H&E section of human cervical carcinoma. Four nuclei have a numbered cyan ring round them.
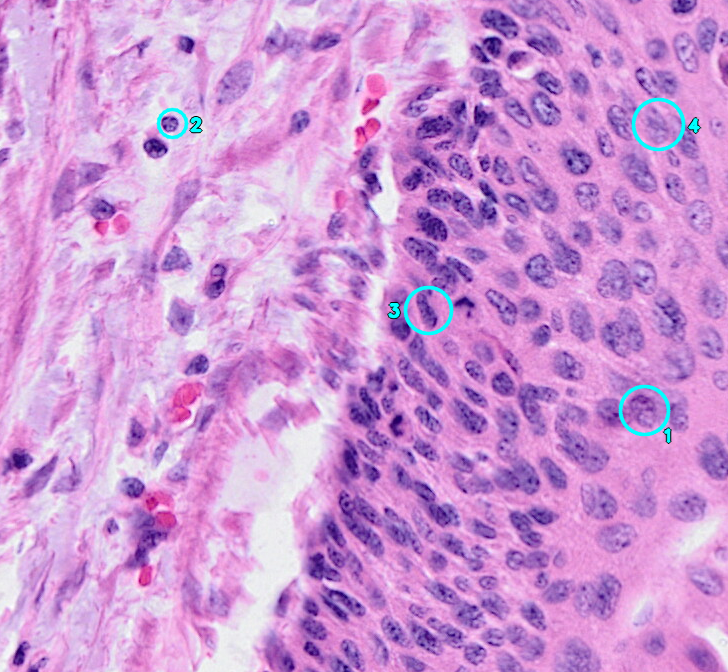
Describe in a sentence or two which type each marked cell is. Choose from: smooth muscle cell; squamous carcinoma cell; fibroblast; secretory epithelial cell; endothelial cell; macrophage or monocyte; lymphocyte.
Cells 1, 3 and 4 are squamous carcinoma cells. Cell 2 is a lymphocyte.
